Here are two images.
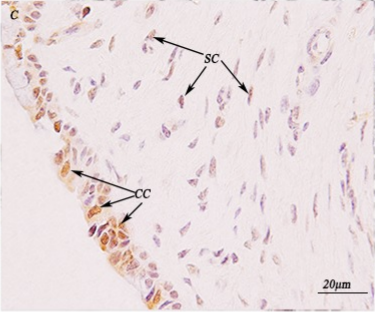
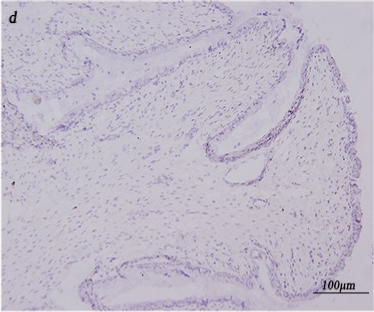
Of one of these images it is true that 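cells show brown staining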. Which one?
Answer: the first image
